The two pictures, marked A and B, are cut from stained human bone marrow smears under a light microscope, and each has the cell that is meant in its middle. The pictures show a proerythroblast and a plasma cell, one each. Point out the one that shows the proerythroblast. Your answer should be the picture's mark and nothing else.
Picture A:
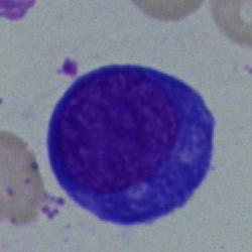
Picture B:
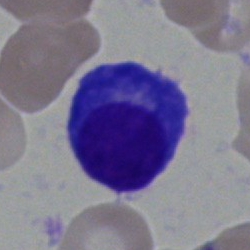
A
